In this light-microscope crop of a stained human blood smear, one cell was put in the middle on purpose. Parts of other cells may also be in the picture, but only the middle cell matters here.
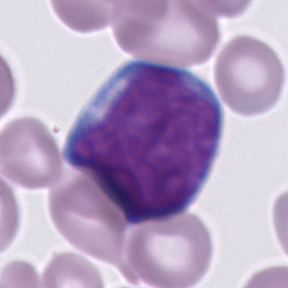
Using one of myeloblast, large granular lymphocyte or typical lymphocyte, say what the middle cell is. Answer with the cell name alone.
myeloblast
